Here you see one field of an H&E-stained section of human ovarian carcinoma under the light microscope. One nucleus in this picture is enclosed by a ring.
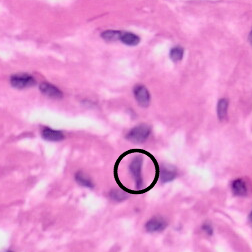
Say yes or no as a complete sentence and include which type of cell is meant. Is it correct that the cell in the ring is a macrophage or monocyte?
No, the cell in the ring is identified as a fibroblast and not as a macrophage or monocyte.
